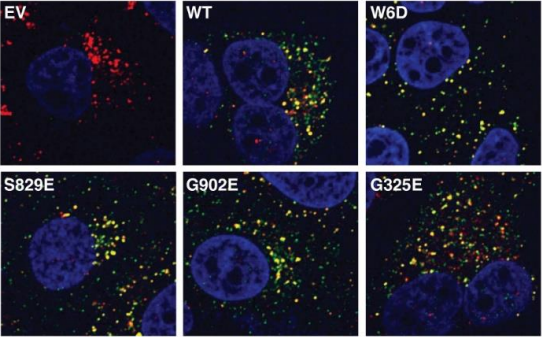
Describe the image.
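These are cultured cells, each with a large oval blue nucleus holding darker spots. Around the nuclei lie many small green and red dots, which often overlap as yellow dots clustered on one side of the nucleus. In one tile only red dots appear, with no green.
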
